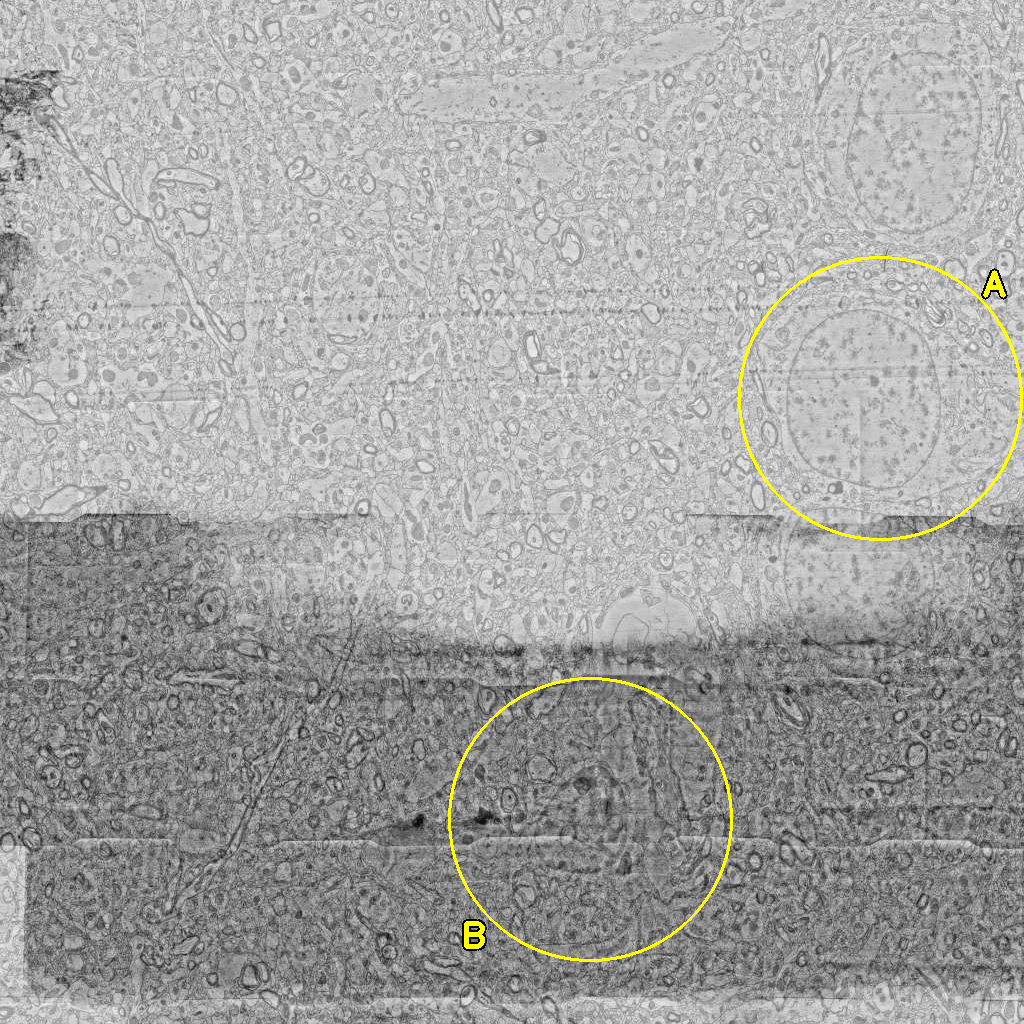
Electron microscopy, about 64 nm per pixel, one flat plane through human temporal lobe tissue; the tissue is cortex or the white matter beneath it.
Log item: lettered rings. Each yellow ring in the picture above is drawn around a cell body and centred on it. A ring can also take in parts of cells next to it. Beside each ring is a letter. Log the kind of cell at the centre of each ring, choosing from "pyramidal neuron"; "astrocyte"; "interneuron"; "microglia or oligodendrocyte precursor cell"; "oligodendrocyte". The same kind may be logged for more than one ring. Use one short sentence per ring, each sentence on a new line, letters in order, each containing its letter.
Within ring A, the centre is taken by a pyramidal neuron.
Within ring B, the centre is taken by a microglial cell or oligodendrocyte precursor cell.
